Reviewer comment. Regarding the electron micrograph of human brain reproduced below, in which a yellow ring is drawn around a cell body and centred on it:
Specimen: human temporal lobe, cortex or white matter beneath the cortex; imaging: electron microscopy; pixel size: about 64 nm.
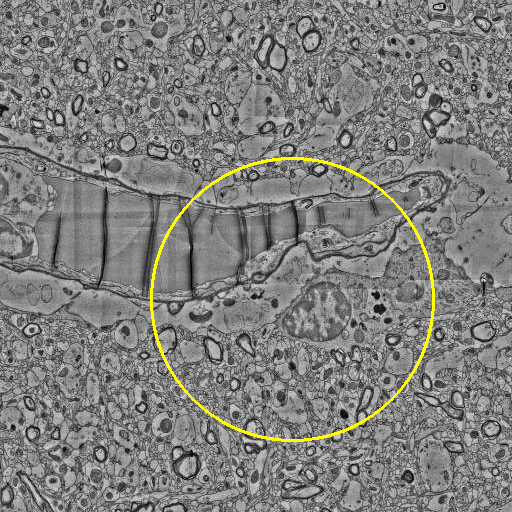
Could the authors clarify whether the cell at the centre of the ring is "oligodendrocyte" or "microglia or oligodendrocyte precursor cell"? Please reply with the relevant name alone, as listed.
oligodendrocyte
